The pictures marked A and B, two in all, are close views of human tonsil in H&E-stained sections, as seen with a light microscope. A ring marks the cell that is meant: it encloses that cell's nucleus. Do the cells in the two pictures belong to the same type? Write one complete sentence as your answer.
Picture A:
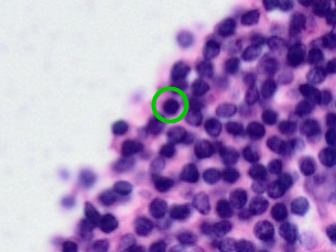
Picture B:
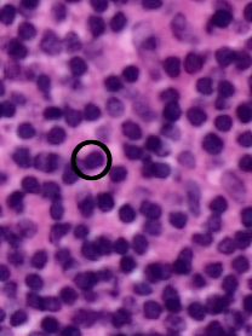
Yes, the two pictures both show small lymphocytes.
